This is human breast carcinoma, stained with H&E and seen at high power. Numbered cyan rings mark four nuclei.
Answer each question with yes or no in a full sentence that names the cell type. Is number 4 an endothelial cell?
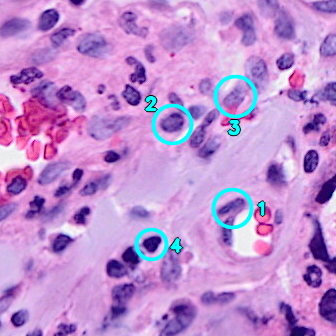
No, the cell given number 4 is a lymphocyte, as opposed to an endothelial cell.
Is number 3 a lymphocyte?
No, the cell given the number 3 is an endothelial cell, so not a lymphocyte.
